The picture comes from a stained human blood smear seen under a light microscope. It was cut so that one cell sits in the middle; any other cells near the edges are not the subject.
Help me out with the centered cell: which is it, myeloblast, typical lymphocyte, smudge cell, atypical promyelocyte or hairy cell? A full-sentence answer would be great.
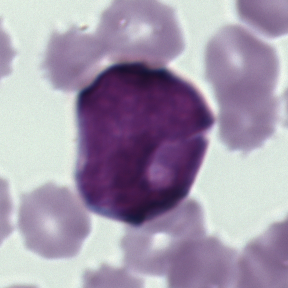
Regarding the central cell, it is a myeloblast.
